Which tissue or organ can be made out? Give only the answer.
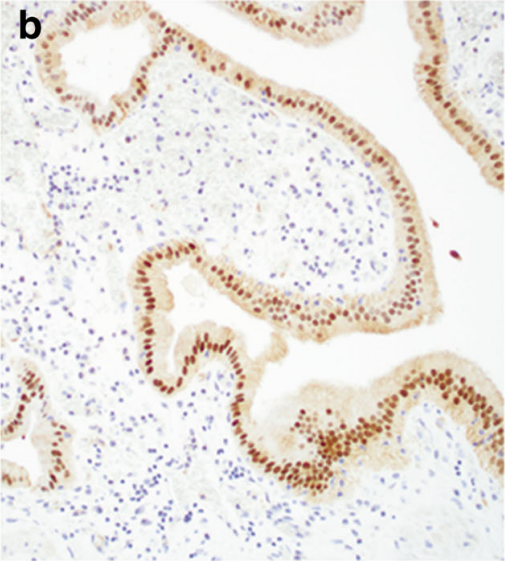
Gallbladder.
